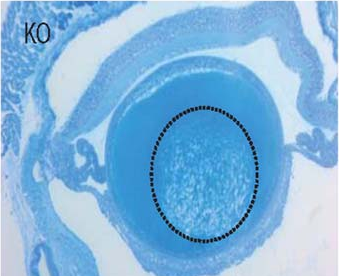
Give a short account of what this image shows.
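A section through the eye shows a rounded lens whose outer zone is smooth and evenly blue, while its central region is fragmented and mottled. This central disordered area, outlined by a dashed oval, is a cataract confined to the lens nucleus. Folded layers of ocular tissue surround the lens at the top and left.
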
